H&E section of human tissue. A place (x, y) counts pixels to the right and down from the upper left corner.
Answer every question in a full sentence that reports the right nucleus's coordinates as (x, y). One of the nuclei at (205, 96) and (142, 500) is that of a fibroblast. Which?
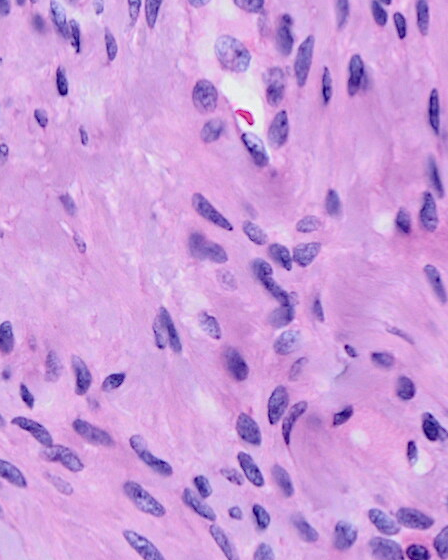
The nucleus situated at (142, 500) is the one belonging to a fibroblast.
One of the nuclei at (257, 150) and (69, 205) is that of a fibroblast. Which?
Here the nucleus at (69, 205) is the one that belongs to a fibroblast.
